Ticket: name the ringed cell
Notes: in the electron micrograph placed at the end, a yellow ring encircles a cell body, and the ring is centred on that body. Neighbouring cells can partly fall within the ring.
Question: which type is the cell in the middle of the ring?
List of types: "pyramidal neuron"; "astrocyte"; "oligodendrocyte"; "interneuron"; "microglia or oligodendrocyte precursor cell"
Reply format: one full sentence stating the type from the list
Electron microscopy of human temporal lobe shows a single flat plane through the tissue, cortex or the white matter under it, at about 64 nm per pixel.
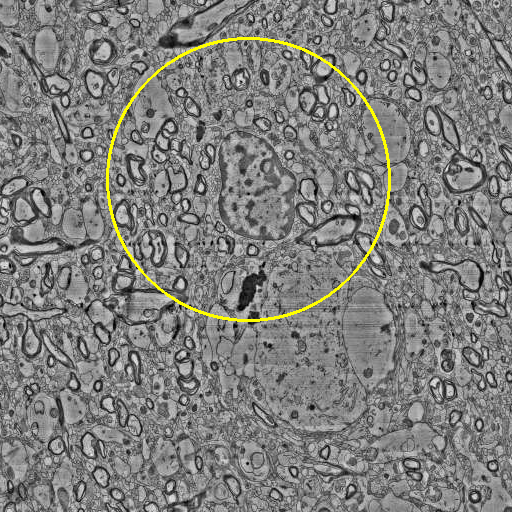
The cell sitting at the centre of the yellow ring is a microglial cell or oligodendrocyte precursor cell.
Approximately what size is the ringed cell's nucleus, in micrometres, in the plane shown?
The ringed cell's nucleus is about 7 micrometres long and 5 micrometres wide in this plane.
